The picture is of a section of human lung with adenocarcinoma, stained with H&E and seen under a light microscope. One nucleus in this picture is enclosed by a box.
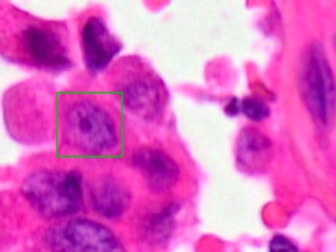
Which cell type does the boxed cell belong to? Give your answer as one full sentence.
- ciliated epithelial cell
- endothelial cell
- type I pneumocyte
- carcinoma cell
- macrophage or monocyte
As far as its identity is concerned, the boxed cell is a carcinoma cell.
